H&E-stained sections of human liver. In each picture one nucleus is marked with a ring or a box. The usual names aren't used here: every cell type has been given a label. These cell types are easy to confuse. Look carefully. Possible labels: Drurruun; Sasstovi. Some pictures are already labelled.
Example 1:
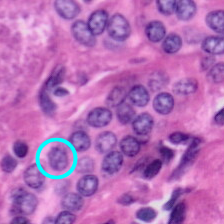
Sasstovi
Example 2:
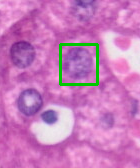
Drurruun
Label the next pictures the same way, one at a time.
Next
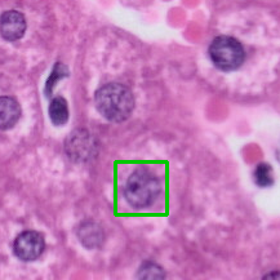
Drurruun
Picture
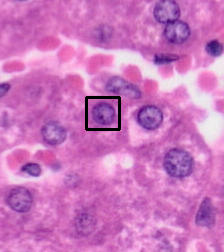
Drurruun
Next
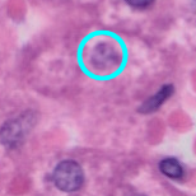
Drurruun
